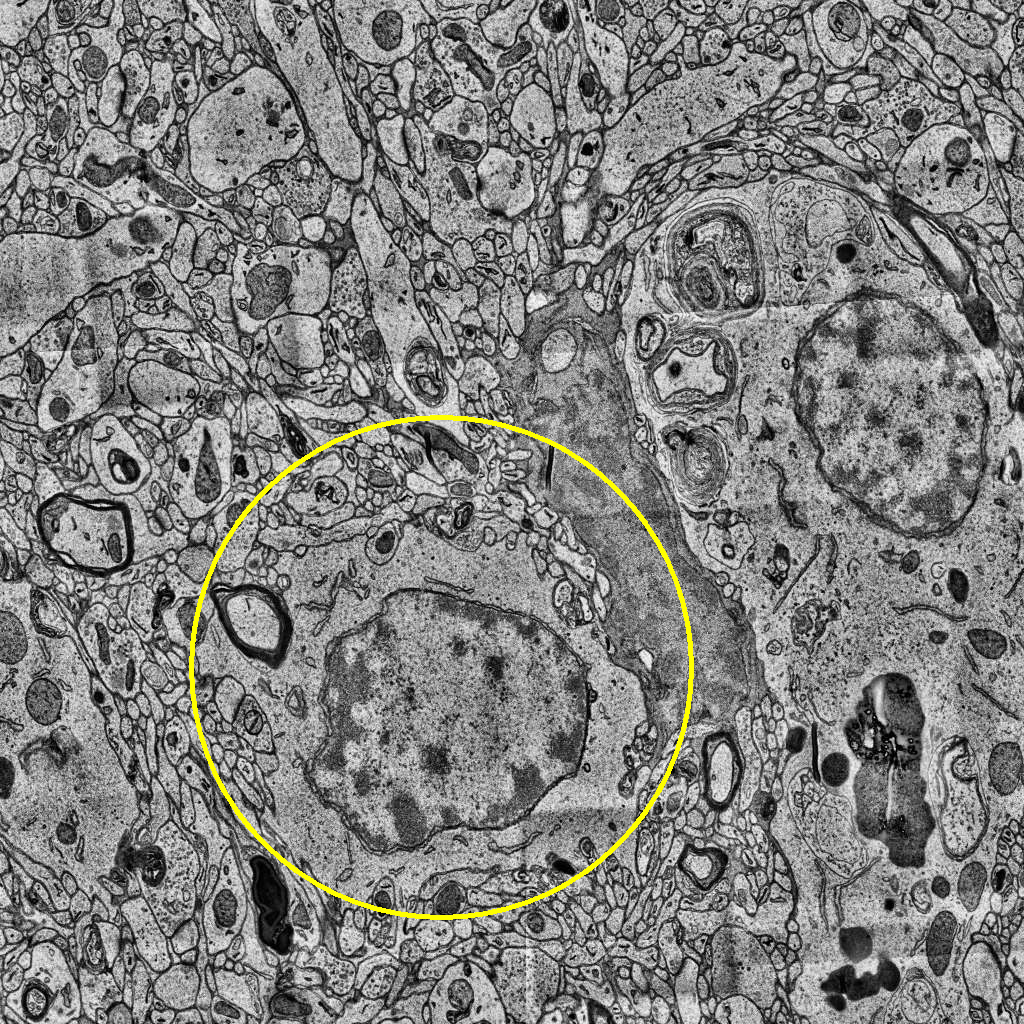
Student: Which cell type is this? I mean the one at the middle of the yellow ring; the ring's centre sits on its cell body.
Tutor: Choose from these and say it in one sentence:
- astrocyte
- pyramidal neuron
The cell at the ring's centre is an astrocyte.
